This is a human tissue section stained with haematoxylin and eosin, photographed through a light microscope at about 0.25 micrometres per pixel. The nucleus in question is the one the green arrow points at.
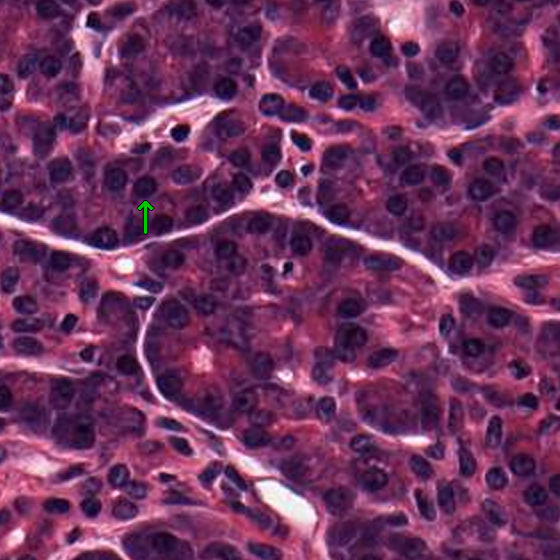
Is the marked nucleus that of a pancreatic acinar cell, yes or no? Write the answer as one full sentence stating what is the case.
Yes, the marked nucleus belongs to a pancreatic acinar cell.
